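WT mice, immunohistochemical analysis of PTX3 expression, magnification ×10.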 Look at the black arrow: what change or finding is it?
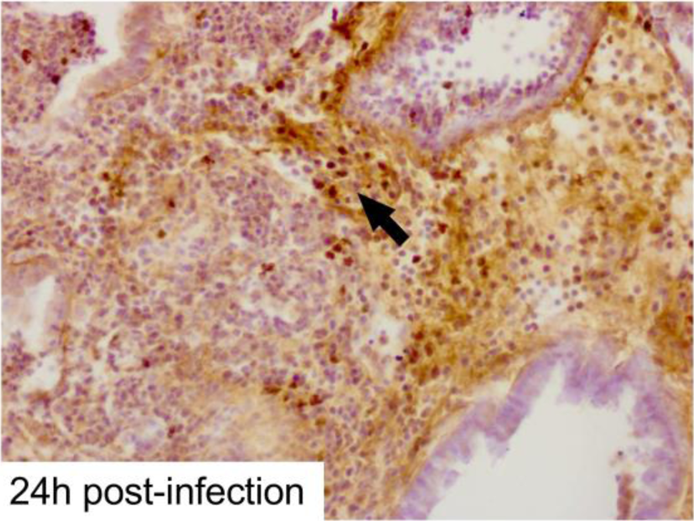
Inflammatory cell infiltrates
